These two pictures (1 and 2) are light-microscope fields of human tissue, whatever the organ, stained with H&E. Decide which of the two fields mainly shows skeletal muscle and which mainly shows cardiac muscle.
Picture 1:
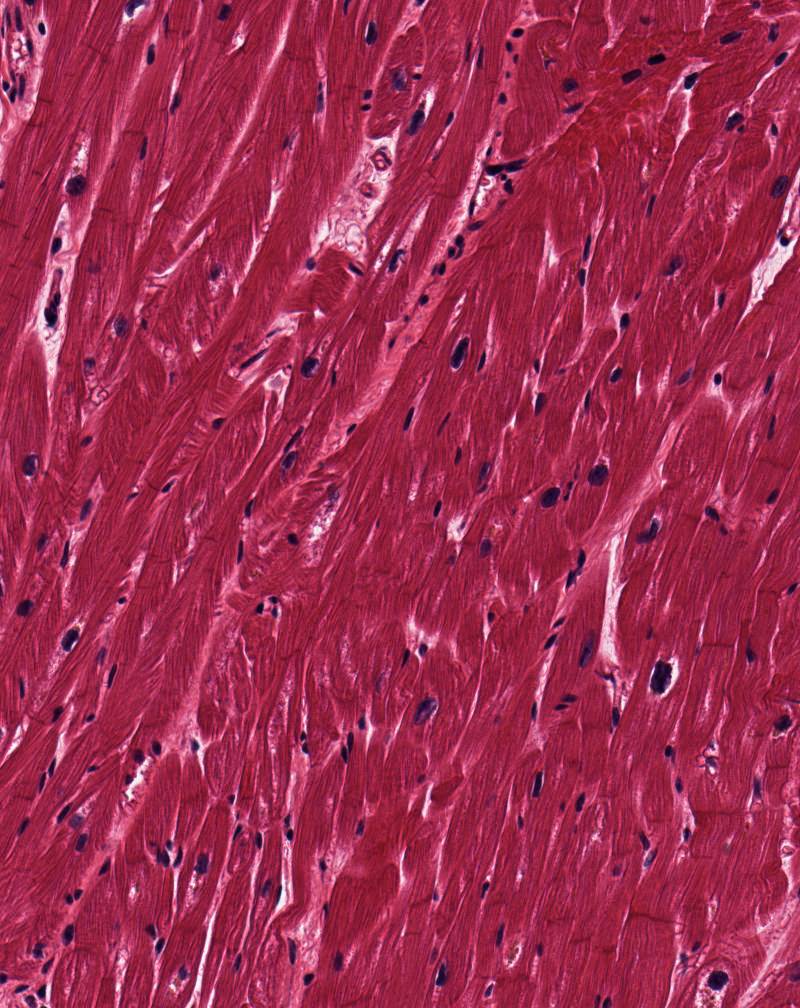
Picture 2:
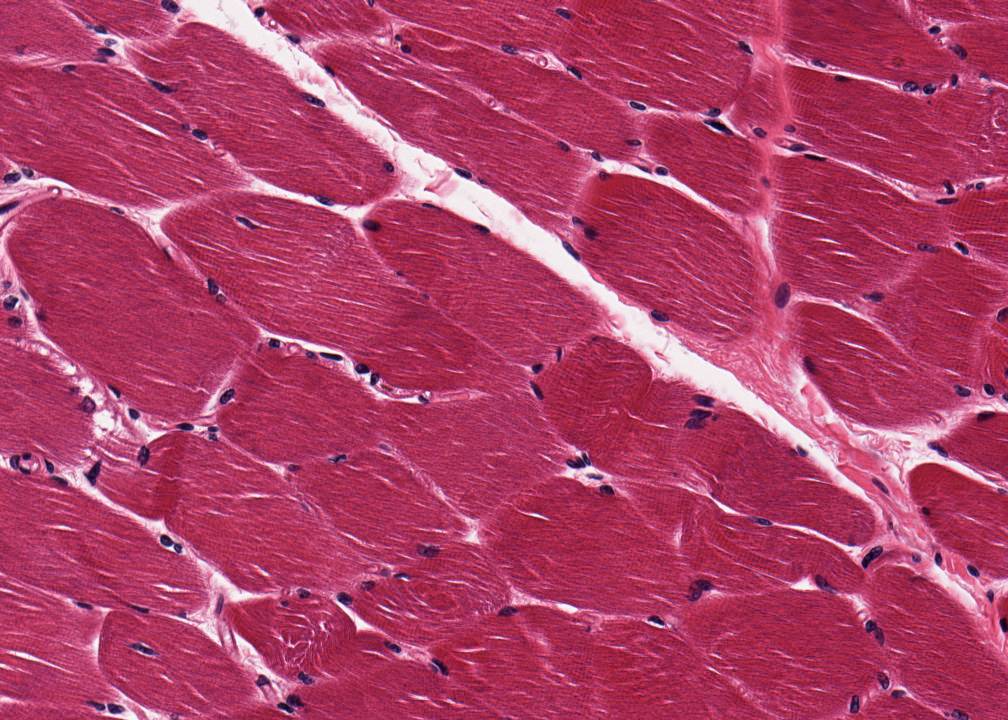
1: cardiac muscle
2: skeletal muscle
